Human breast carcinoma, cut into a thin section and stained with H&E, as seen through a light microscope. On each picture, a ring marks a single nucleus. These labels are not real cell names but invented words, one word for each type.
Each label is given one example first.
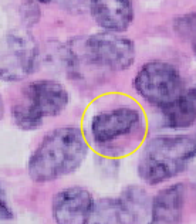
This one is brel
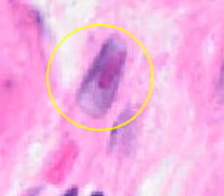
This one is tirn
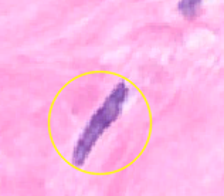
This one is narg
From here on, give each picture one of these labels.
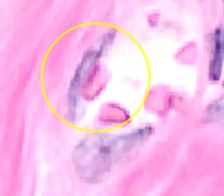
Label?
tirn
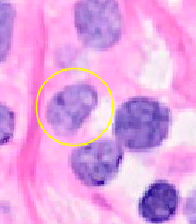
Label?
brel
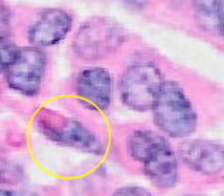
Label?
tirn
